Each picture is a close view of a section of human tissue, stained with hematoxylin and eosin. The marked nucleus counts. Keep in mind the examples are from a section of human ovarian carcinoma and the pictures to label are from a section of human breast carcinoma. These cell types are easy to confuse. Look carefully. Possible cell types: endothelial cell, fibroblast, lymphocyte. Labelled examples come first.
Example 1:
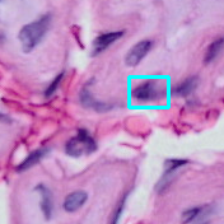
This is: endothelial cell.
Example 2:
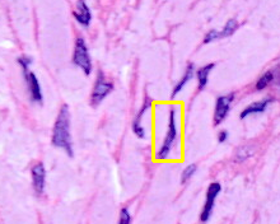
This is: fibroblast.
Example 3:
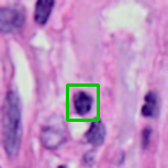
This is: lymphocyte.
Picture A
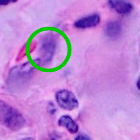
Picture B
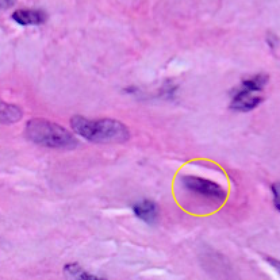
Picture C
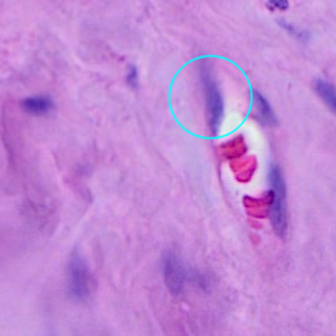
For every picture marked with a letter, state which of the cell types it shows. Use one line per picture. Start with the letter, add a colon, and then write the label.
A: endothelial cell.
B: endothelial cell.
C: endothelial cell.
